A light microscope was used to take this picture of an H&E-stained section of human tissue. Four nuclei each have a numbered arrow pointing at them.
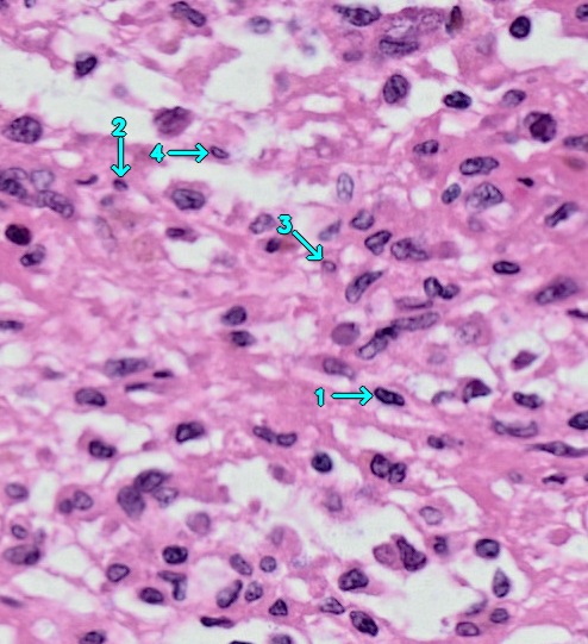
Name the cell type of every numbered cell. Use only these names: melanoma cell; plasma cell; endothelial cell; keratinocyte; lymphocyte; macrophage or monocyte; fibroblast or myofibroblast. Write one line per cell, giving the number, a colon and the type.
1: lymphocyte
2: macrophage or monocyte
3: macrophage or monocyte
4: macrophage or monocyte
